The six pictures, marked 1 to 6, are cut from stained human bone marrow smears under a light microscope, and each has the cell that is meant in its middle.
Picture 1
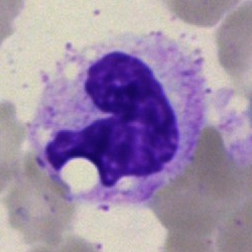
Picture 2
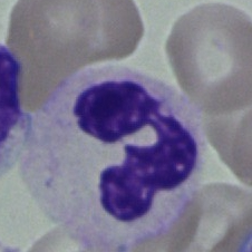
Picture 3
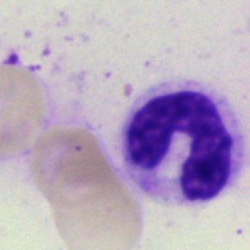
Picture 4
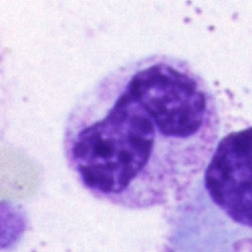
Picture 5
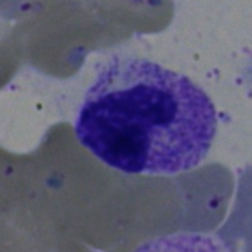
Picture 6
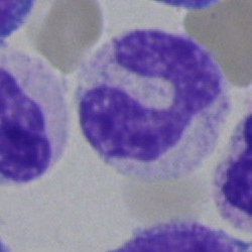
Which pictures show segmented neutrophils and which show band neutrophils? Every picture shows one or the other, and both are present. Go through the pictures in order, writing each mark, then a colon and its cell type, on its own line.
1: band neutrophil
2: segmented neutrophil
3: band neutrophil
4: band neutrophil
5: segmented neutrophil
6: band neutrophil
